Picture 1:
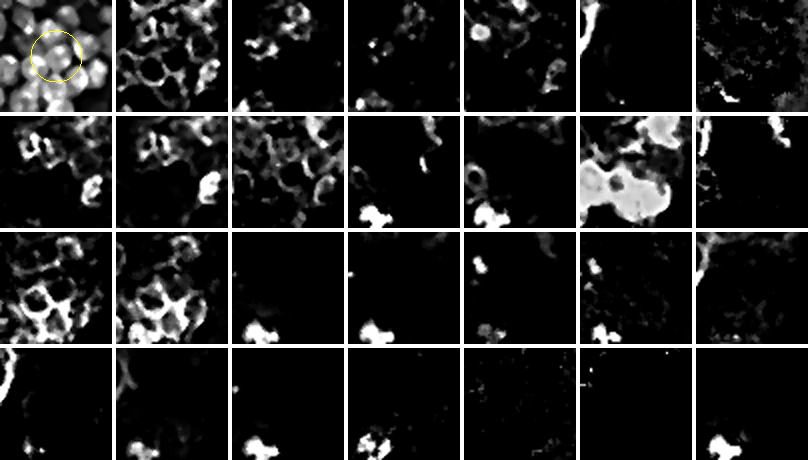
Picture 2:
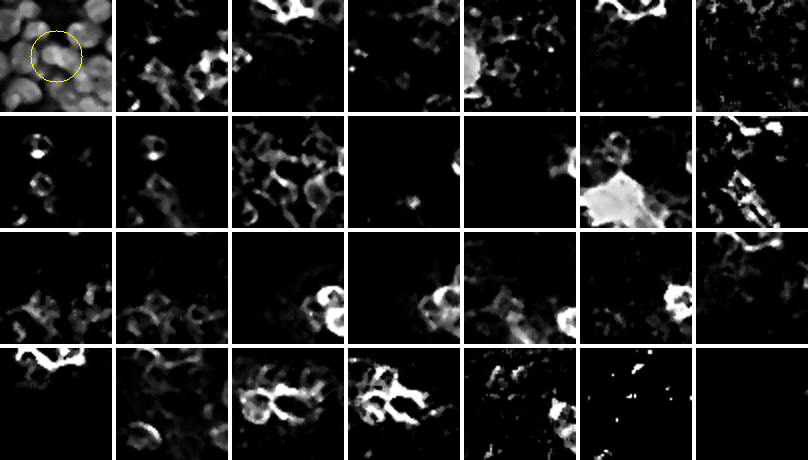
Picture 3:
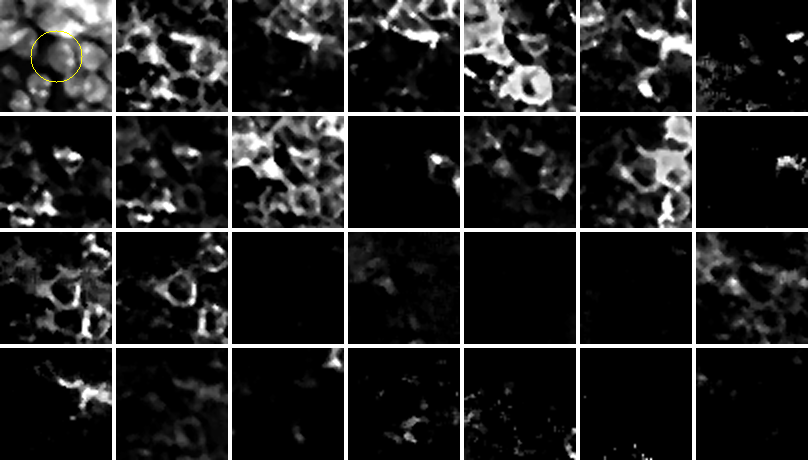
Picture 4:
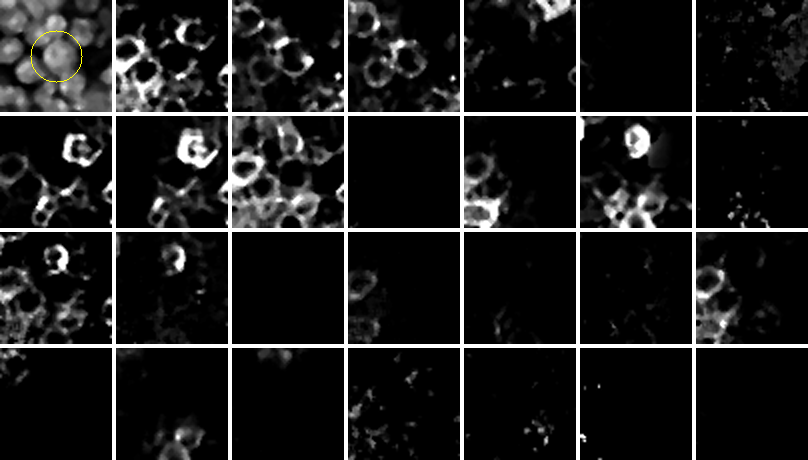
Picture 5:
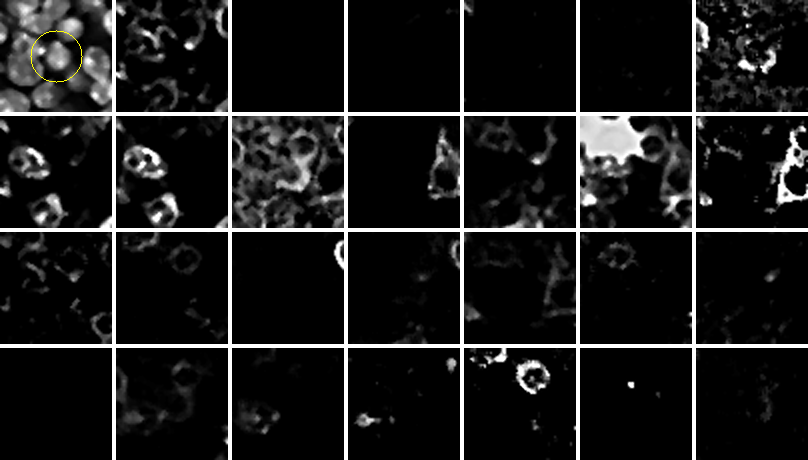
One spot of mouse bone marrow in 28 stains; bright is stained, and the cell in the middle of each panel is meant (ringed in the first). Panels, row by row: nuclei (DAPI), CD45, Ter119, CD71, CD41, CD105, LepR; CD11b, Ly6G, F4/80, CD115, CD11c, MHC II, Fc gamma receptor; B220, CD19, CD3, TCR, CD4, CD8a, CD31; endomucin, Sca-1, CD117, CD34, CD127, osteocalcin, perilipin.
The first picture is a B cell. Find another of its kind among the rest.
Picture 3.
